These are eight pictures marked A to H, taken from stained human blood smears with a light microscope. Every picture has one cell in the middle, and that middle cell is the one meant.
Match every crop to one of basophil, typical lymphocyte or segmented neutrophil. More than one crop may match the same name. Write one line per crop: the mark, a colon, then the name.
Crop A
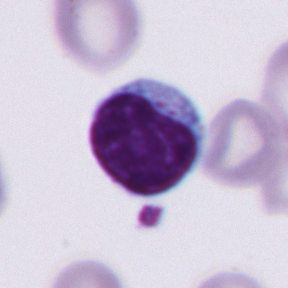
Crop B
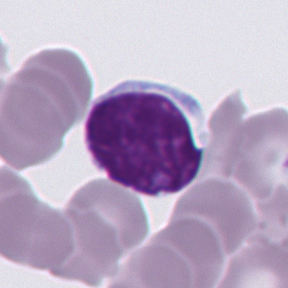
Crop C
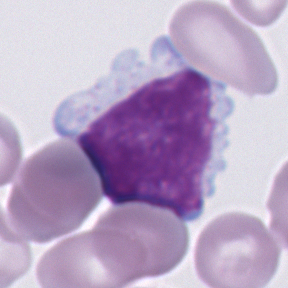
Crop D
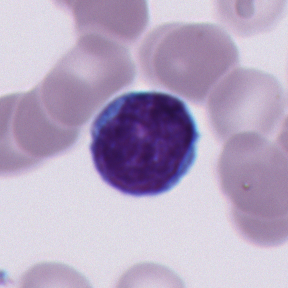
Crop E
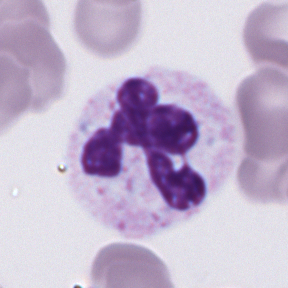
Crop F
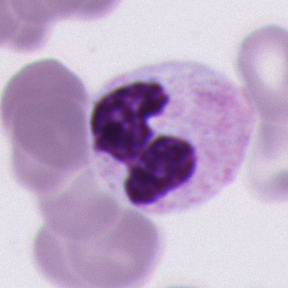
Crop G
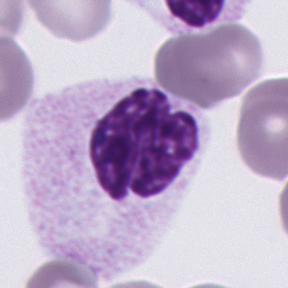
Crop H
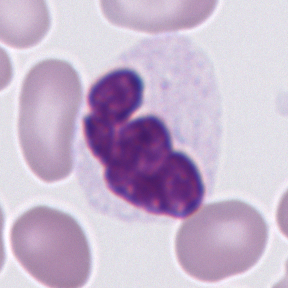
A: typical lymphocyte
B: typical lymphocyte
C: typical lymphocyte
D: typical lymphocyte
E: segmented neutrophil
F: segmented neutrophil
G: segmented neutrophil
H: segmented neutrophil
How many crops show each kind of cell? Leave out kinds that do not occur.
typical lymphocyte: 4
segmented neutrophil: 4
